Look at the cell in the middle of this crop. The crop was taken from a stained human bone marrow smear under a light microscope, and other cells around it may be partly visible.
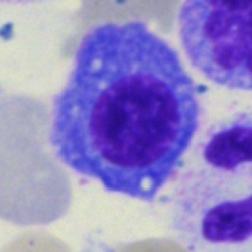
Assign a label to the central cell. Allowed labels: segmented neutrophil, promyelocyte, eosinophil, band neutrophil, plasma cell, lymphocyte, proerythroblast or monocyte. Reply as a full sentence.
The centered cell in this crop is a plasma cell.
